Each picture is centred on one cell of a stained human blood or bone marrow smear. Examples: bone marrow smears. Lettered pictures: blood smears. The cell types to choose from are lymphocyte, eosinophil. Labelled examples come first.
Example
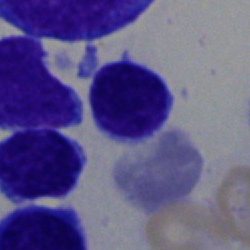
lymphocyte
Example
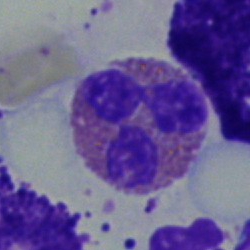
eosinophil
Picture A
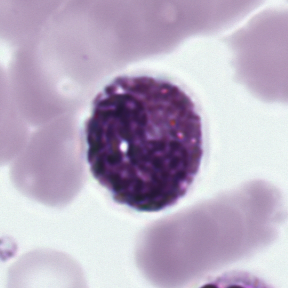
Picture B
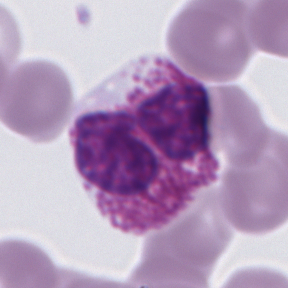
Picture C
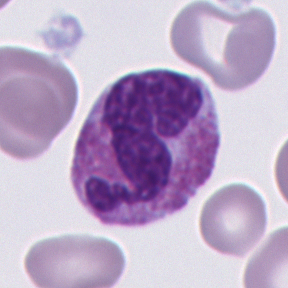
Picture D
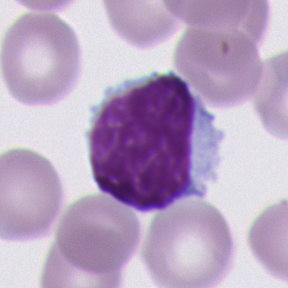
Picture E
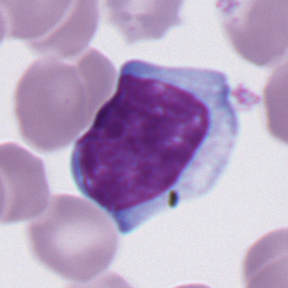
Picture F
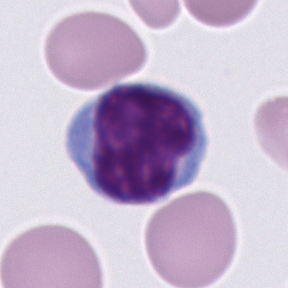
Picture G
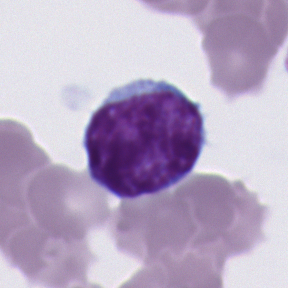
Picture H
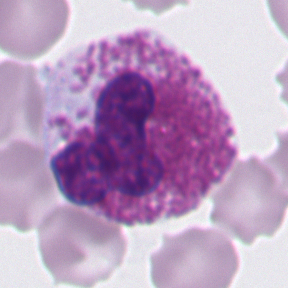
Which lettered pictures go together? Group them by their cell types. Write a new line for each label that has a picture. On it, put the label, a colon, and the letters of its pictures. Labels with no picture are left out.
lymphocyte: D, E, F, G
eosinophil: A, B, C, H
